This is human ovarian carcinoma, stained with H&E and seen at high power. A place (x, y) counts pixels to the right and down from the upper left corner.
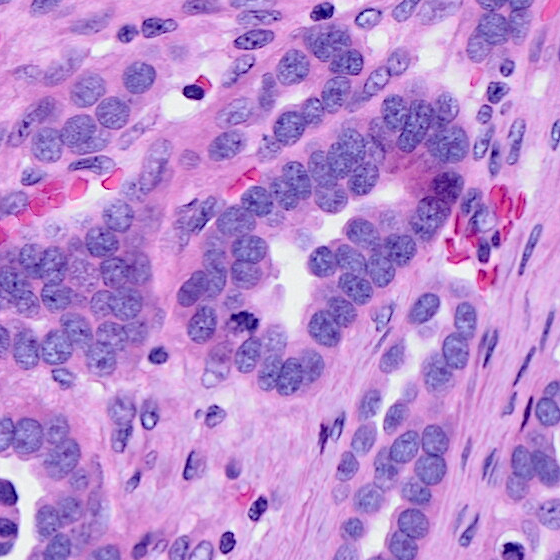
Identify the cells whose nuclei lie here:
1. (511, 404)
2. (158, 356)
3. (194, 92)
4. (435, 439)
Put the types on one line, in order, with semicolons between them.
fibroblast; lymphocyte; lymphocyte; carcinoma cell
